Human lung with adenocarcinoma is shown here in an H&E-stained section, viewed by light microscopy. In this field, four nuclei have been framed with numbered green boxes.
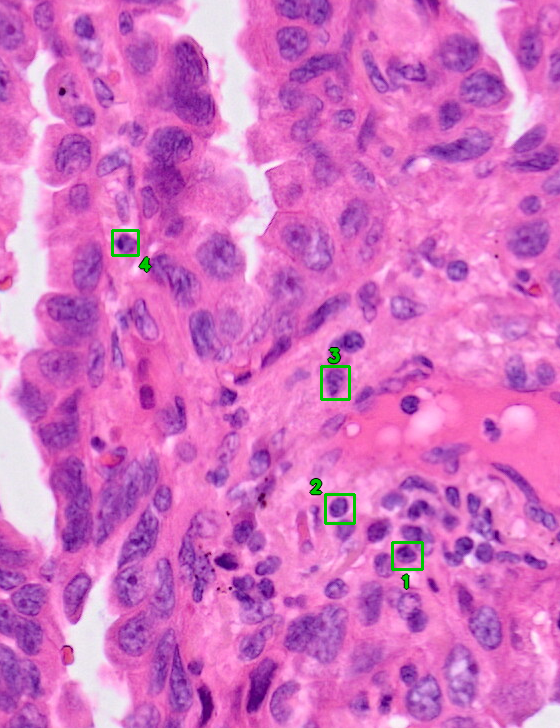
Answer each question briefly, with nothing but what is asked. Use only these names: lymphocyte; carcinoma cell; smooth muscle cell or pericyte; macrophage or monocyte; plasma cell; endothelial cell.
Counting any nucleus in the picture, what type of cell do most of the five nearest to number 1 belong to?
lymphocyte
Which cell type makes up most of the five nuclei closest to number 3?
endothelial cell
